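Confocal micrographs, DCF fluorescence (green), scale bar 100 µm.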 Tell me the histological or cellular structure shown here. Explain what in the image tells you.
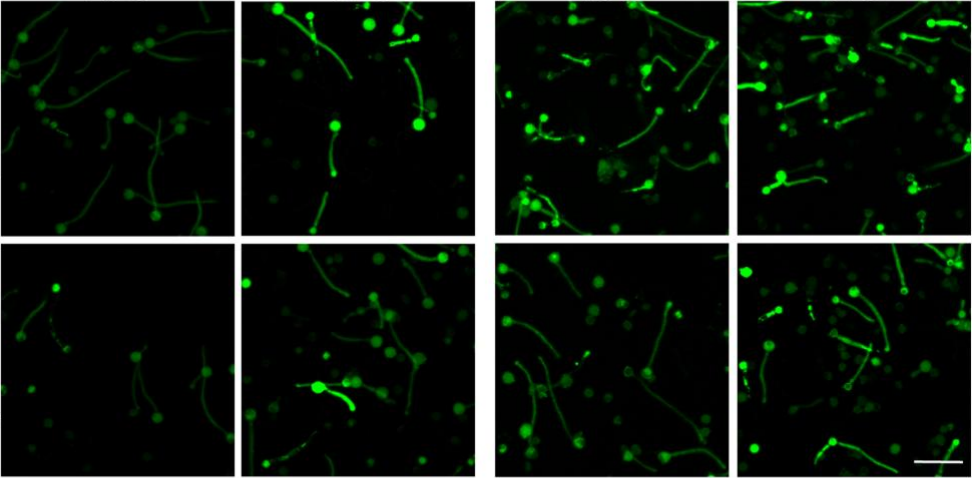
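Round grains each give rise to a single long, thin, unbranched tube. The tubes are many times longer than the diameter of the grain. Many round grains lie without any tube. On this evidence: pollen tubes.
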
